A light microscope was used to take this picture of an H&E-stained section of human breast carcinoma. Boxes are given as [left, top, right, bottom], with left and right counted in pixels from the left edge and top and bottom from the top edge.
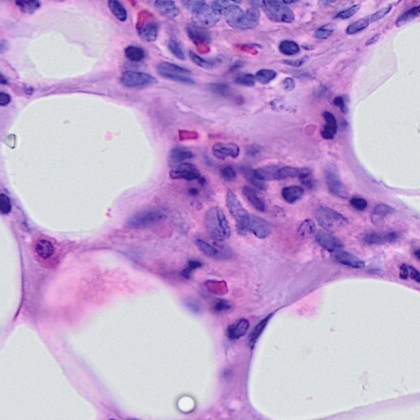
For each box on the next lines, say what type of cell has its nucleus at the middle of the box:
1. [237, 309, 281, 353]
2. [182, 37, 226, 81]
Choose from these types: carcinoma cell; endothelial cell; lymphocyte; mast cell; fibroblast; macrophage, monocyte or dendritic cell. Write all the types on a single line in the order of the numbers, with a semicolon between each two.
fibroblast; endothelial cell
